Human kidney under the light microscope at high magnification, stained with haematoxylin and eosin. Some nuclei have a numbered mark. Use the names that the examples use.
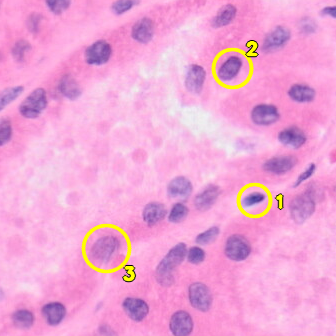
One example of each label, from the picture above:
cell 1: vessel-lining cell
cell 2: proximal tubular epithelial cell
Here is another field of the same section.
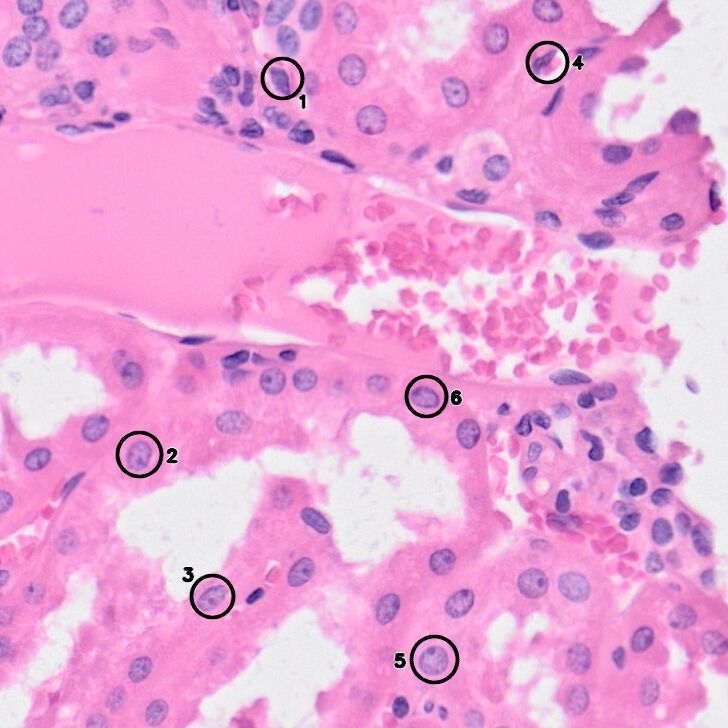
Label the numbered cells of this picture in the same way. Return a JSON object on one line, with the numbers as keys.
{"1": "vessel-lining cell", "2": "proximal tubular epithelial cell", "3": "proximal tubular epithelial cell", "4": "vessel-lining cell", "5": "proximal tubular epithelial cell", "6": "proximal tubular epithelial cell"}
